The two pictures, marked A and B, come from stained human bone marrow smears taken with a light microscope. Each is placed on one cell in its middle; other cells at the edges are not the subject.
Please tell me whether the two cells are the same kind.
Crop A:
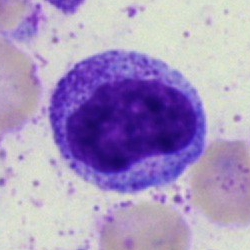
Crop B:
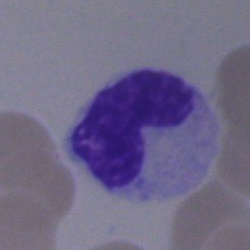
no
